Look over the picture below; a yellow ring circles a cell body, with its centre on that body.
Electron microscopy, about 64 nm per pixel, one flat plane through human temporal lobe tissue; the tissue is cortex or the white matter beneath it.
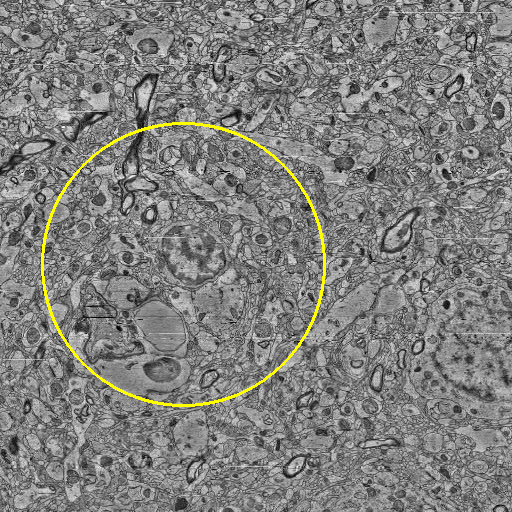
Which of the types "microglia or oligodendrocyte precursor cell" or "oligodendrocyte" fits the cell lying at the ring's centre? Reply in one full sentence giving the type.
The picture shows an oligodendrocyte at the centre of the yellow ring.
